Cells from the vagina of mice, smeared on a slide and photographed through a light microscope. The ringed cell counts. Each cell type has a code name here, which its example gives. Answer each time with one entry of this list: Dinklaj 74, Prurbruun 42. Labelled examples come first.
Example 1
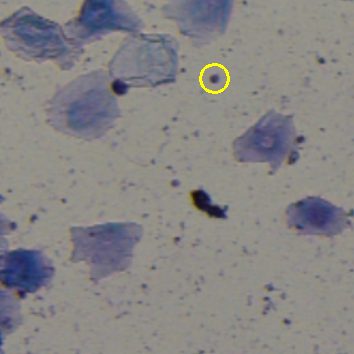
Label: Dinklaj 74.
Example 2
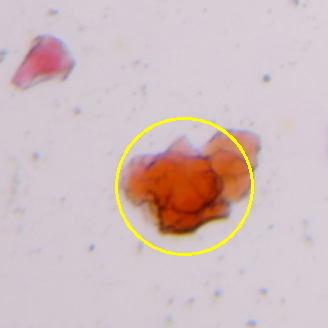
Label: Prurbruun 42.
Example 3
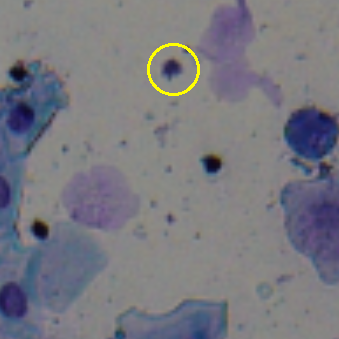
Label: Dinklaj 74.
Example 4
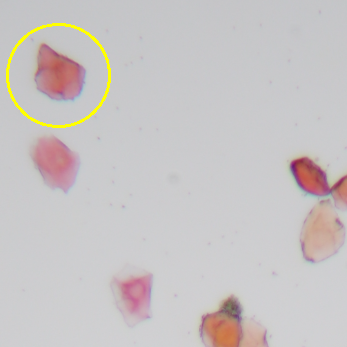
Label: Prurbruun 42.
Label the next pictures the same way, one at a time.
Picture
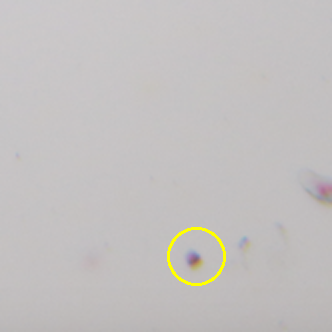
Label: Dinklaj 74.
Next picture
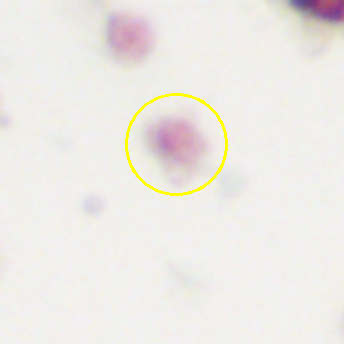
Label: Dinklaj 74.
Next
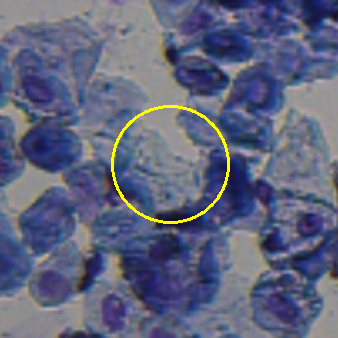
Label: Prurbruun 42.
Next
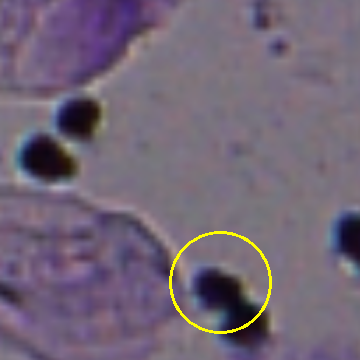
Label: Dinklaj 74.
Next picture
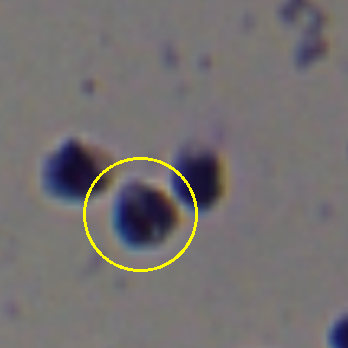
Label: Dinklaj 74.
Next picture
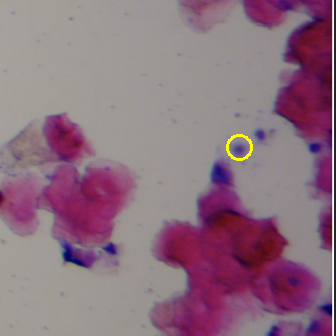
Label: Dinklaj 74.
